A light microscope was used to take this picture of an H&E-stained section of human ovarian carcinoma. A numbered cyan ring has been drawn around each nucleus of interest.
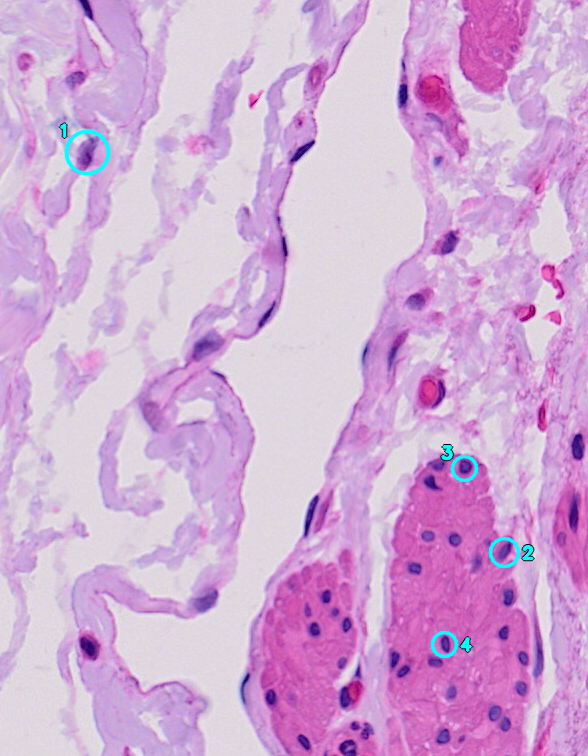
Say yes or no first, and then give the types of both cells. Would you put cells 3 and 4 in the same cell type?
Yes, cells 3 and 4 are both smooth muscle cells and thus of one type.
